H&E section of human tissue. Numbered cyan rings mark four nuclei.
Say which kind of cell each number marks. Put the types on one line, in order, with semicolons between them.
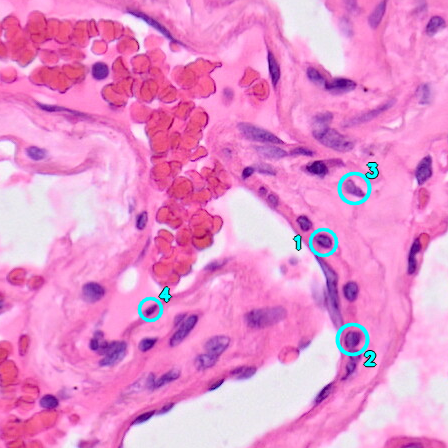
smooth muscle cell or pericyte; smooth muscle cell or pericyte; fibroblast; endothelial cell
